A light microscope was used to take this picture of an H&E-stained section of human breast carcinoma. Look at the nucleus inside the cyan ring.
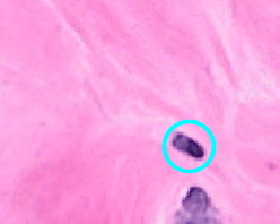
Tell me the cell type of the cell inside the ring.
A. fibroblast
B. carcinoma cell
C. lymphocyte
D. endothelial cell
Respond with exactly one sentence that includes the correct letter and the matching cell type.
Option C holds, since the cell inside the ring is a lymphocyte.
